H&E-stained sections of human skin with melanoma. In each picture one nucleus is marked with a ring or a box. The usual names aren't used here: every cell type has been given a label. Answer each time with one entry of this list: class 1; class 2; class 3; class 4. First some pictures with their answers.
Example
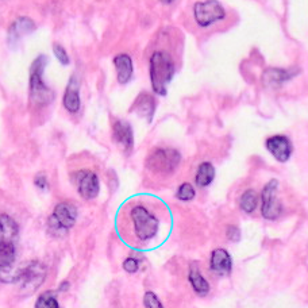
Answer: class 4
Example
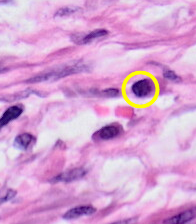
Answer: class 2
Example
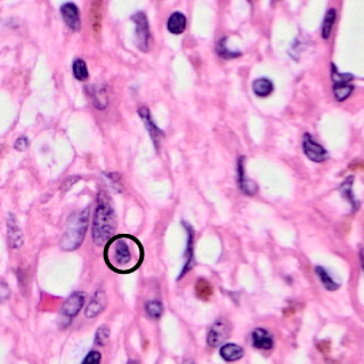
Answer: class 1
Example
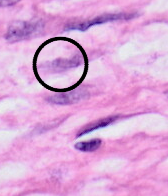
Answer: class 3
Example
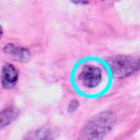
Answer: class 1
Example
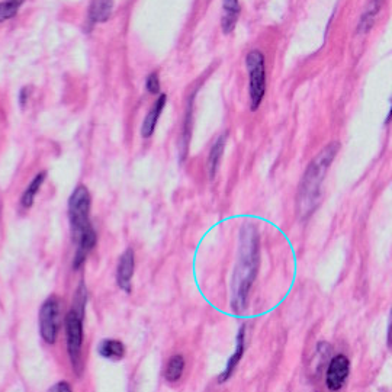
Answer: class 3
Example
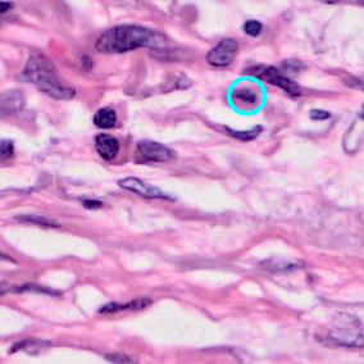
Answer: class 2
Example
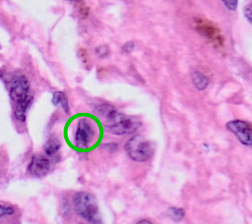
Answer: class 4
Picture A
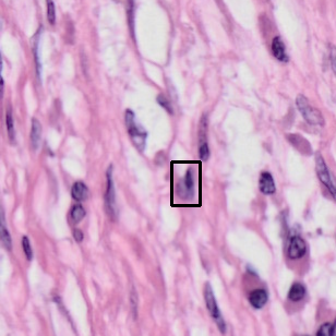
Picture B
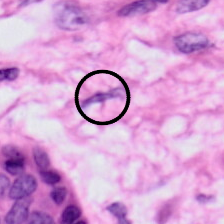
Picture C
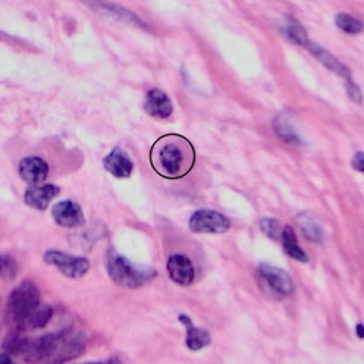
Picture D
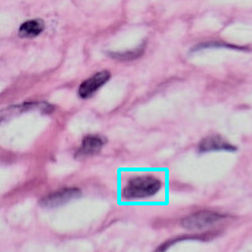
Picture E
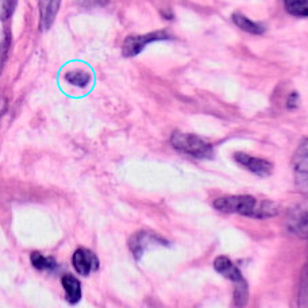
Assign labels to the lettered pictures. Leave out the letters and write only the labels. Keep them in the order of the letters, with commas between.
class 4, class 3, class 2, class 4, class 1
